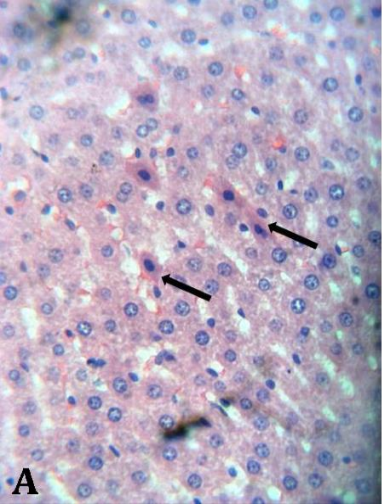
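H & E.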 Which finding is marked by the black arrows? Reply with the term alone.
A: Degeneration and necrosis of hepatocytes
